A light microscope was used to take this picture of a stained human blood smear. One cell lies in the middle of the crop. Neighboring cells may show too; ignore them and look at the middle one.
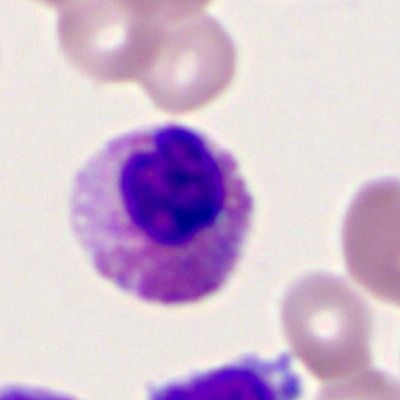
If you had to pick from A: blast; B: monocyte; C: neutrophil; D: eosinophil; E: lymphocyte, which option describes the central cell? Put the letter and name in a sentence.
The centrally positioned cell is an eosinophil, consistent with option D, which is correct.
